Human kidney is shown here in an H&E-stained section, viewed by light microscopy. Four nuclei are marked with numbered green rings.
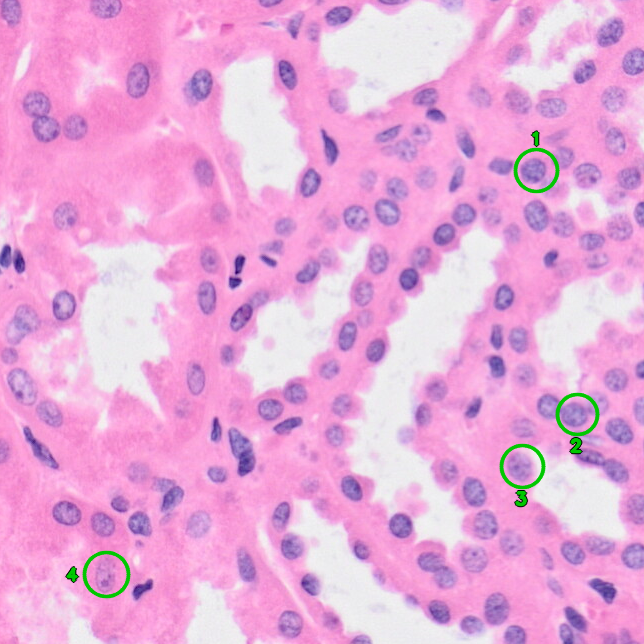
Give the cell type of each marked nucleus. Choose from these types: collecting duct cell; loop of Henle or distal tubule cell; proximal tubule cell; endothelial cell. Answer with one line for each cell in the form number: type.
1: loop of Henle or distal tubule cell
2: loop of Henle or distal tubule cell
3: loop of Henle or distal tubule cell
4: proximal tubule cell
